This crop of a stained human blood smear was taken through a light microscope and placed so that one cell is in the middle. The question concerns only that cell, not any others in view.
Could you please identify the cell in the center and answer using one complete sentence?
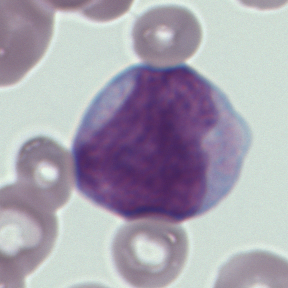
In the centre of this crop there is an atypical promyelocyte.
